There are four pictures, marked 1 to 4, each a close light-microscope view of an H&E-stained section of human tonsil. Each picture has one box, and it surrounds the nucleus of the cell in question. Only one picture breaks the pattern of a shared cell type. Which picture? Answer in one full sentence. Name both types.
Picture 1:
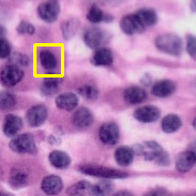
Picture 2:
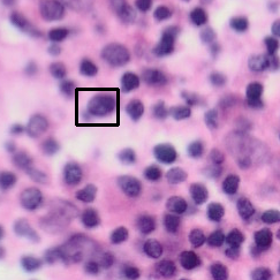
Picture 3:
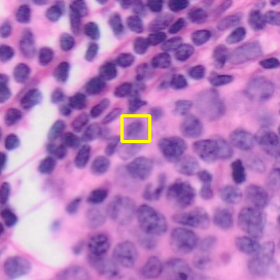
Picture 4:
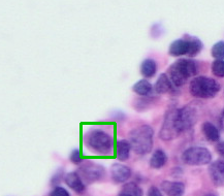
Unlike the rest, which show proliferating B cells, picture 1 shows a plasma cell.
